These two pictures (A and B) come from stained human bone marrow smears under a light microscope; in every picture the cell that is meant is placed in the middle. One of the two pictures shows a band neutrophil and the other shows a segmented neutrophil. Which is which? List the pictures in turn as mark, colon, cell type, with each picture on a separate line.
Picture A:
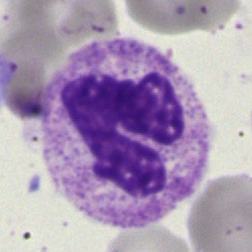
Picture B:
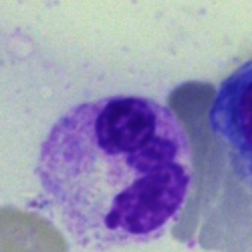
A: band neutrophil
B: segmented neutrophil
